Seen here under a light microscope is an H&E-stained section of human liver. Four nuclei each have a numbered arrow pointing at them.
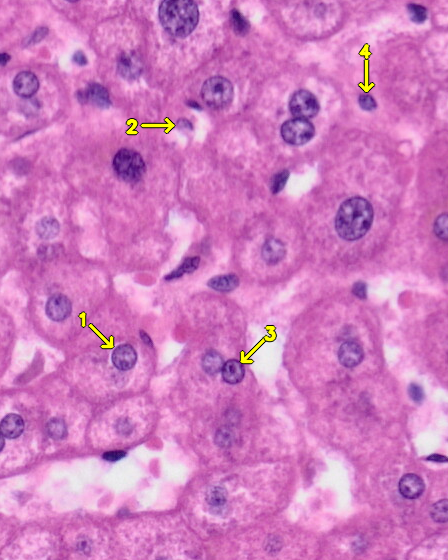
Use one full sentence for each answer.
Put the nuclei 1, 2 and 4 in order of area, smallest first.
Smallest first, the nuclei run 2, 4, 1.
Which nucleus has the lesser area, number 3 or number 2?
Number 2 is smaller, since number 3 takes up about 4 times as much area.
